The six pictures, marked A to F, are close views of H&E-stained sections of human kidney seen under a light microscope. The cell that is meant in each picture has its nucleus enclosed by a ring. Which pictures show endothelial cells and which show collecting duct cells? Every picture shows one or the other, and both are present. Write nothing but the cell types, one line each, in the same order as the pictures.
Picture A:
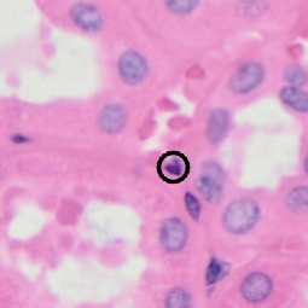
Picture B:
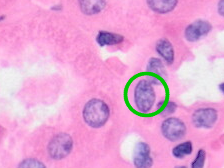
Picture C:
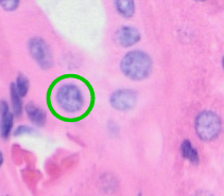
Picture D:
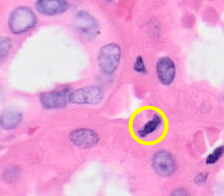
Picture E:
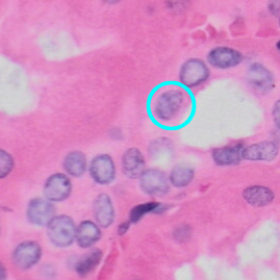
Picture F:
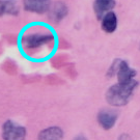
endothelial cell
collecting duct cell
collecting duct cell
endothelial cell
collecting duct cell
endothelial cell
